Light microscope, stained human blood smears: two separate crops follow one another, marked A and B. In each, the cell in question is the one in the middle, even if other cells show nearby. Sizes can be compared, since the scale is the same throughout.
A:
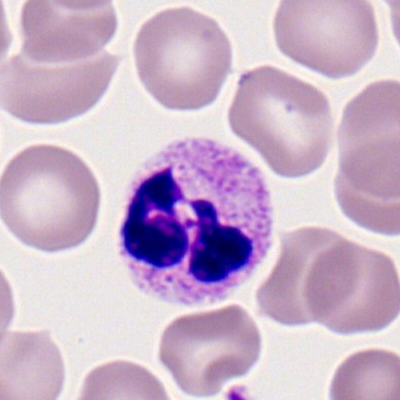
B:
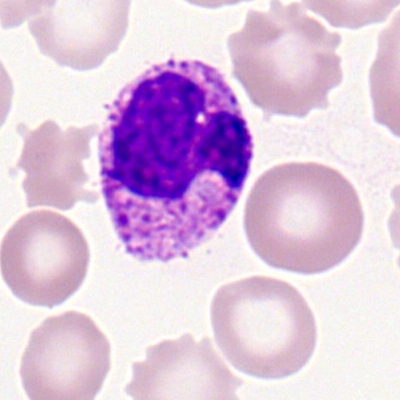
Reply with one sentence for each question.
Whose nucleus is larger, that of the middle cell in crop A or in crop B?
Crop B shows the larger nucleus; it covers about 1.5 times the area of the nucleus in crop A.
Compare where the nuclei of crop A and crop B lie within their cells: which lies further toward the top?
In crop B the nucleus is shifted more toward the top.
